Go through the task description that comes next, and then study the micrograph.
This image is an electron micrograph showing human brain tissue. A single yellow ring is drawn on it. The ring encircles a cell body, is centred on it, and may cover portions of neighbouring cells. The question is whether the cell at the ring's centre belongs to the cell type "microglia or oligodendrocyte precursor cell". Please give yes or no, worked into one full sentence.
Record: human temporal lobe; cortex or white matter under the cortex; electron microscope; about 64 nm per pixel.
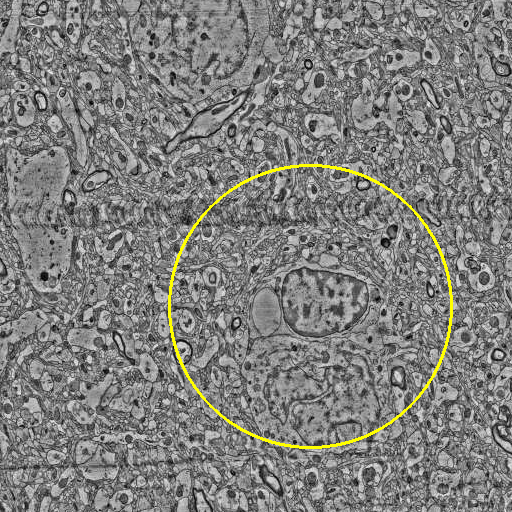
Yes, the cell that the ring is centred on in the micrograph is of this kind.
